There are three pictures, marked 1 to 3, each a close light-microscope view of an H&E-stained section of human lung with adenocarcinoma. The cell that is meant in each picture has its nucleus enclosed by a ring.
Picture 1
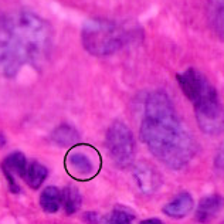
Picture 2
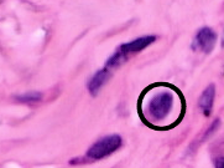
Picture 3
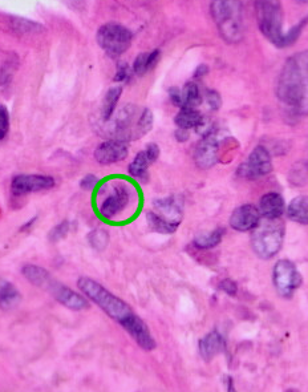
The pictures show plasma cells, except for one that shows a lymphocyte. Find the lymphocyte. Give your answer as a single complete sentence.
The cell in picture 1 is the lymphocyte.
